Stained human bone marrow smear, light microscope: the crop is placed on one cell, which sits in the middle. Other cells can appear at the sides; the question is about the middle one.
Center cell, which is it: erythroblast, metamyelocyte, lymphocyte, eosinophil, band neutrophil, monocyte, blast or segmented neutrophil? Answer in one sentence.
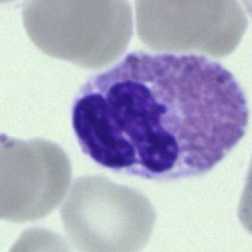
The cell under consideration, at the middle of the crop, is an eosinophil.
